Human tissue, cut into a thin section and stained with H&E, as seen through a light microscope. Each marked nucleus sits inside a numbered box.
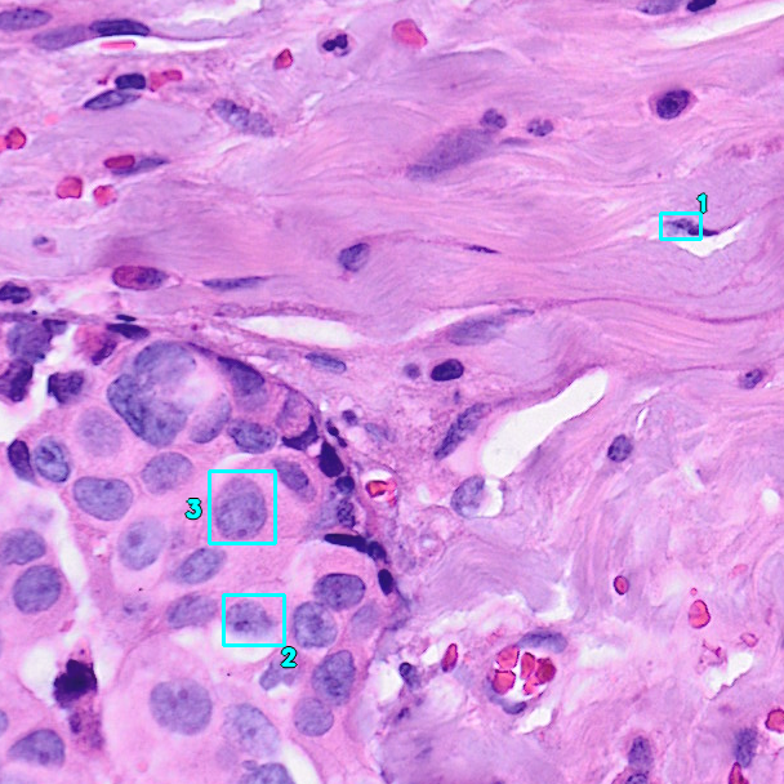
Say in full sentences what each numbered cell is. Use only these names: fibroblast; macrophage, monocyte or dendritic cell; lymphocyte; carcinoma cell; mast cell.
Cell 1 is a fibroblast, cell 2 is a carcinoma cell and cell 3 is a carcinoma cell.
